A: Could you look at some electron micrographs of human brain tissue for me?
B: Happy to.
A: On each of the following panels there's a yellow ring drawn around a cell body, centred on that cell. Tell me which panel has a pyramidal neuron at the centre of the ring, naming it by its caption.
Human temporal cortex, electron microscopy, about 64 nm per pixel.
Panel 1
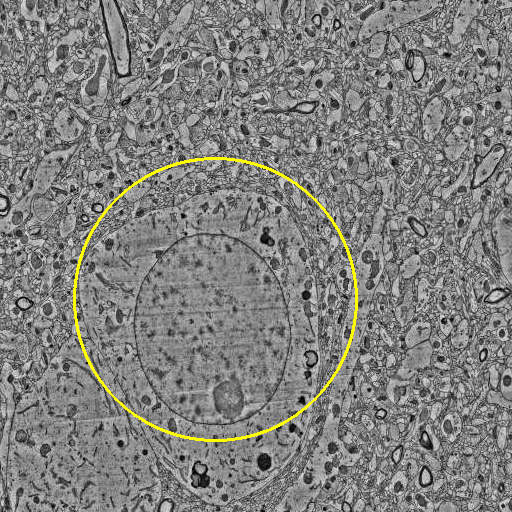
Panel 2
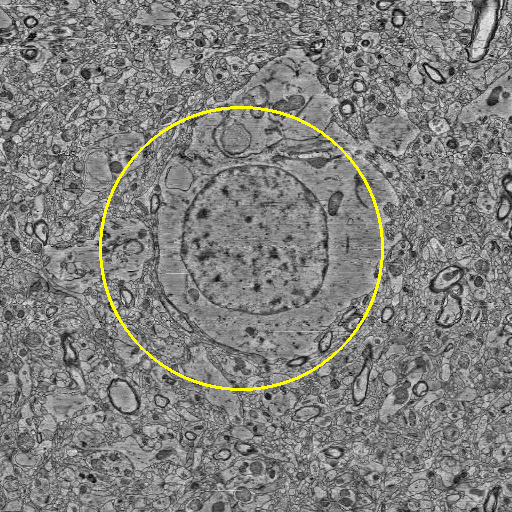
Panel 1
